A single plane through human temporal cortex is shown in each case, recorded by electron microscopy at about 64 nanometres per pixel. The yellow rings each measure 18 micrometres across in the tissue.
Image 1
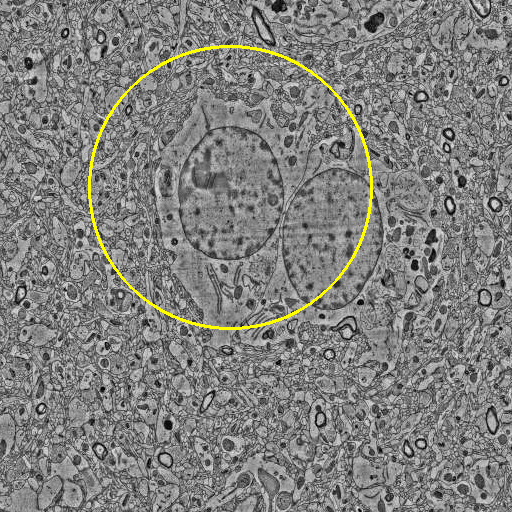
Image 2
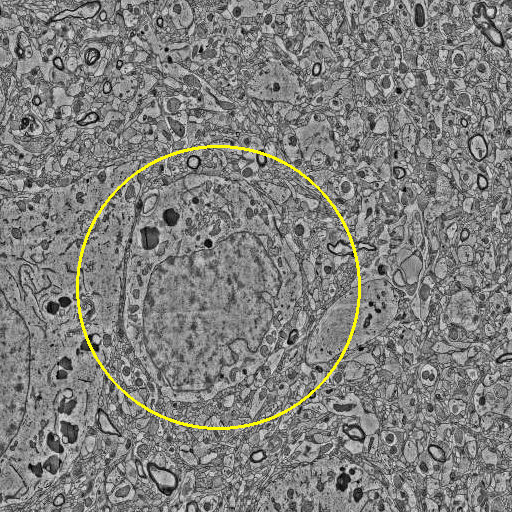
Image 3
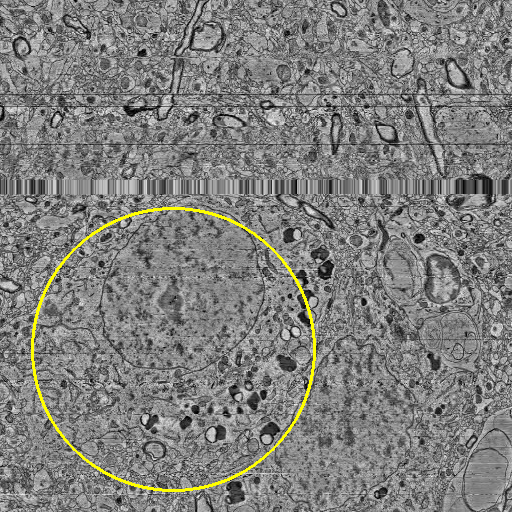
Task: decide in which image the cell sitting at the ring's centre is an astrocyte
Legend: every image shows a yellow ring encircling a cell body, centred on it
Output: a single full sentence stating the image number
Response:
In image 1, the cell at the middle of the ring is the match.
